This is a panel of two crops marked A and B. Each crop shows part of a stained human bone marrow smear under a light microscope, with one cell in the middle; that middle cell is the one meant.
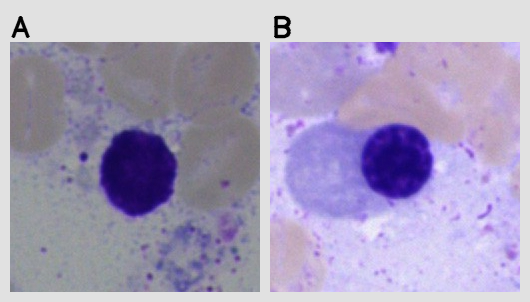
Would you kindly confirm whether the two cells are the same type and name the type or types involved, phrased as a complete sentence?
No, a lymphocyte is in crop A, and a normoblast is in crop B.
